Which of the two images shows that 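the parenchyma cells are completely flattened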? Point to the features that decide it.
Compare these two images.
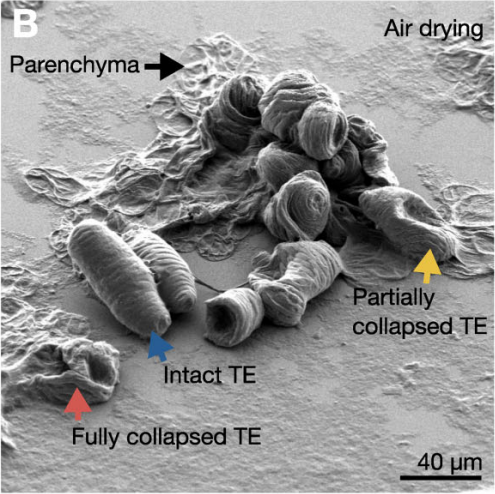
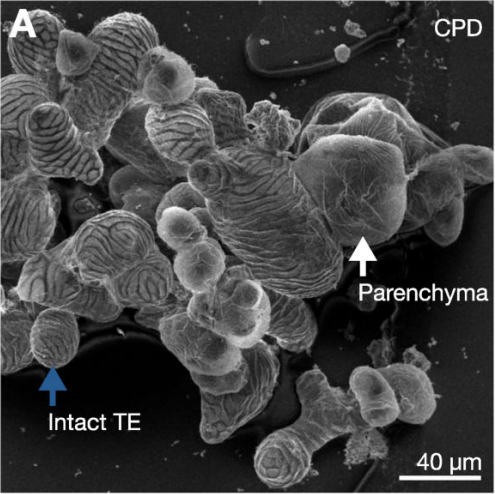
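First image: the parenchyma appears as a flat, wrinkled film spread over the substrate. Second image: the parenchyma cells are plump, rounded and stand out in relief.
The first image.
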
